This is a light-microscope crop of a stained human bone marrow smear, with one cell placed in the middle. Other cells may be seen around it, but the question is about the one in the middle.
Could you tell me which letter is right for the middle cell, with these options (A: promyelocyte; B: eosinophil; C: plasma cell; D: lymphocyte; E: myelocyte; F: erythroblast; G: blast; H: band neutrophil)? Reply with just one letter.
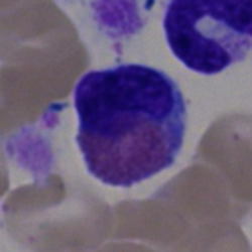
B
